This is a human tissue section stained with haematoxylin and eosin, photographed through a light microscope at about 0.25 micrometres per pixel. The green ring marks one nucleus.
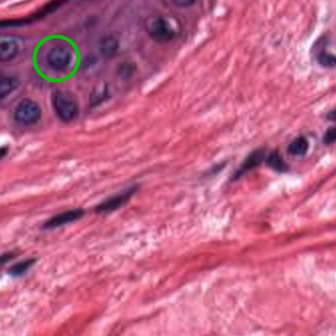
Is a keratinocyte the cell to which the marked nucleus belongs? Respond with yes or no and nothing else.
yes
